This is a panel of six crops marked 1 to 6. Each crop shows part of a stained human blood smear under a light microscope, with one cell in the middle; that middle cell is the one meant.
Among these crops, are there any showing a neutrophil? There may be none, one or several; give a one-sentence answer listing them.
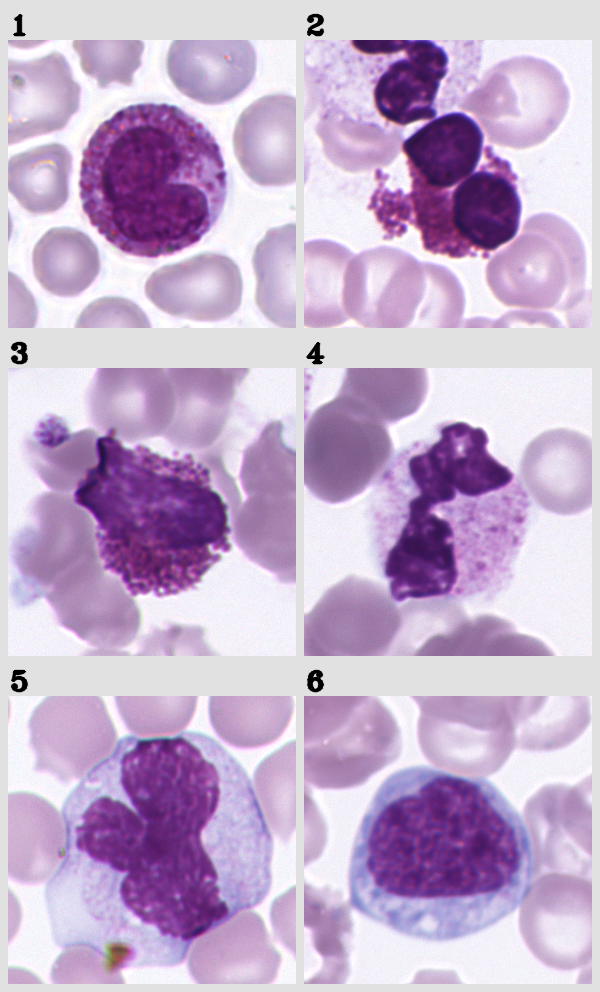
The only crop in which a neutrophil is shown is crop 4.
